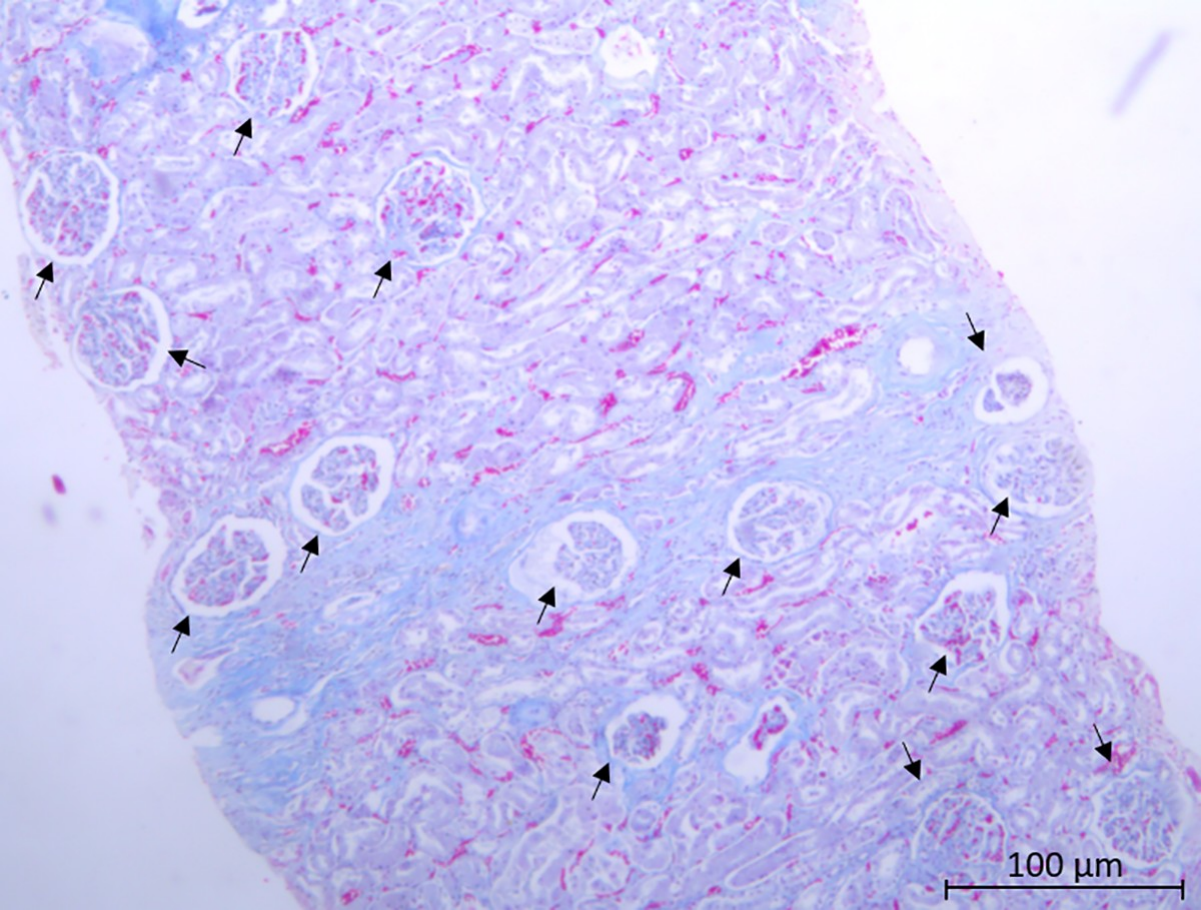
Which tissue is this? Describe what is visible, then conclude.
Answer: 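Cortical region of the kidney. Many round capillary tufts within capsules are scattered across the field. Densely packed, convoluted tubules in many cross and oblique sections fill the space between them.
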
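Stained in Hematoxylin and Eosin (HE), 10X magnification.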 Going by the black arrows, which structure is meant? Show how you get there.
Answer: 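The arrows point to round, ball-like tufts of many small cells and capillary loops. Each tuft sits inside a clear round space bounded by a thin capsule. The tufts are scattered among many cut tubules.
Hence: Glomerular.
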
